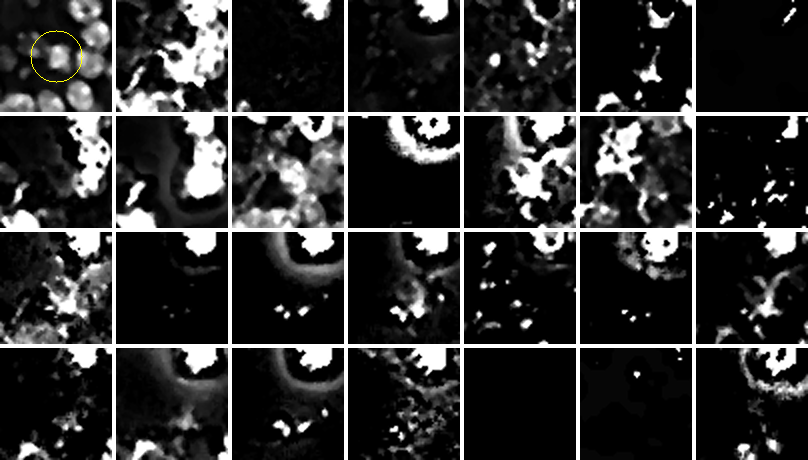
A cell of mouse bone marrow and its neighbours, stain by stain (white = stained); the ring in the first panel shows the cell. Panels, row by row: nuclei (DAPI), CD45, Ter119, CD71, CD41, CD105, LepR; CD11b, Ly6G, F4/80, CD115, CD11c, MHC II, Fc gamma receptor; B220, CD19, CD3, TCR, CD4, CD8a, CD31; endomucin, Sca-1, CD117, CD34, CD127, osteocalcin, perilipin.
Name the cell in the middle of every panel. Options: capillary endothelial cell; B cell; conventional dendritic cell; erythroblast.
conventional dendritic cell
